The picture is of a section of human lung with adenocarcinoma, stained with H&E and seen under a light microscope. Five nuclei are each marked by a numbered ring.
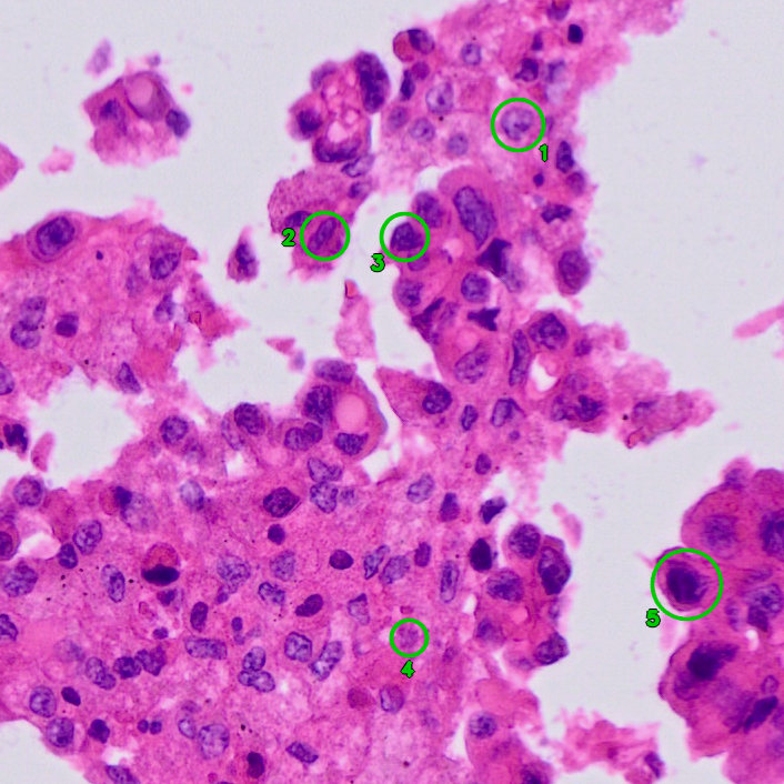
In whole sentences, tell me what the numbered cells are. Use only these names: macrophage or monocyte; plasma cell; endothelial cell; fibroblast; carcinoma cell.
Cell 1 is a macrophage or monocyte, cell 2 is a carcinoma cell, cell 3 is a carcinoma cell, cell 4 is a macrophage or monocyte and cell 5 is a carcinoma cell.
